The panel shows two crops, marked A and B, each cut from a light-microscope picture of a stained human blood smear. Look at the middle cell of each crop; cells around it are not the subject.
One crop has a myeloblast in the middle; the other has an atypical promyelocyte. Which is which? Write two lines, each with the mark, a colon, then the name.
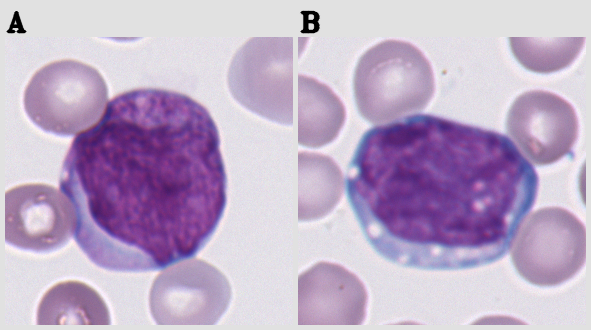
A: atypical promyelocyte
B: myeloblast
